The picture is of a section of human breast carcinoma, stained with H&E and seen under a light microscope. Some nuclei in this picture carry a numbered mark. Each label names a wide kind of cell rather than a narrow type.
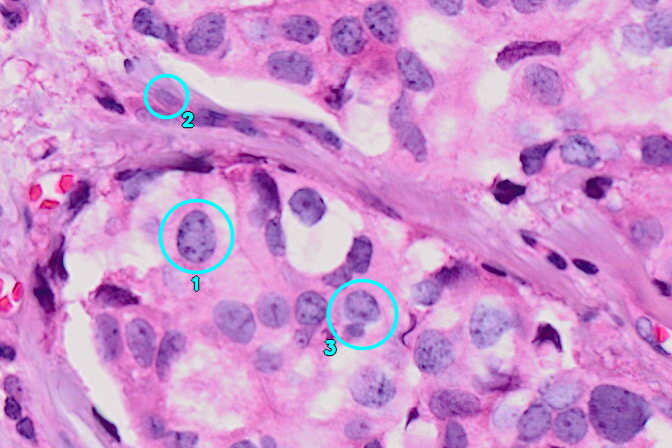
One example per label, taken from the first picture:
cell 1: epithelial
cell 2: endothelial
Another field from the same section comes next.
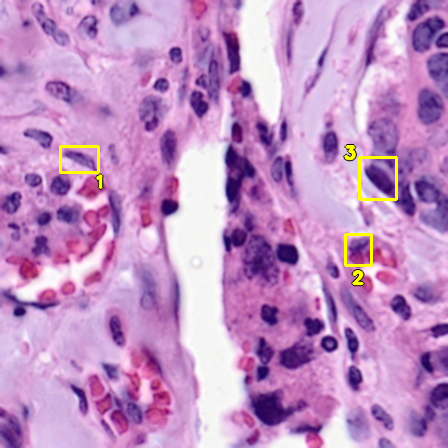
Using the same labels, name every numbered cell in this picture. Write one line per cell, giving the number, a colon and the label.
1: endothelial
2: endothelial
3: epithelial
